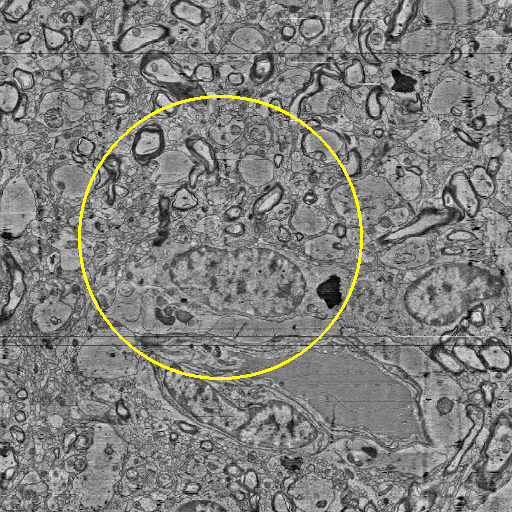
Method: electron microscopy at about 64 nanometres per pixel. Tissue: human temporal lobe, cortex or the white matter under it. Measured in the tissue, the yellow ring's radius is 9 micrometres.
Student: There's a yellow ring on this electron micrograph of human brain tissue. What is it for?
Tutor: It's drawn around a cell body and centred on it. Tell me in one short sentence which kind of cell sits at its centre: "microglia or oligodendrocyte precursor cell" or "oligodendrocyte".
The cell at the centre of the ring is an oligodendrocyte.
